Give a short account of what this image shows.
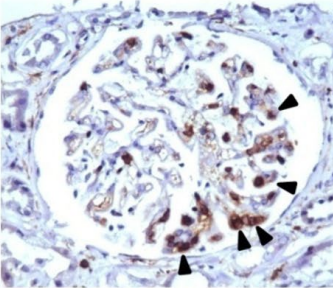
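A renal glomerulus sits in the centre, its capillary tuft separated from Bowman's capsule by a clear space and surrounded by tubules. Within the open capillary loops lie numerous round cells stained dark brown, some single and some in small groups near the periphery of the tuft. The capillary walls show a fainter brownish tinge, while many other nuclei in the tuft are blue. Outside the glomerulus, a few small brown-stained cells lie in the interstitium between the tubules.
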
